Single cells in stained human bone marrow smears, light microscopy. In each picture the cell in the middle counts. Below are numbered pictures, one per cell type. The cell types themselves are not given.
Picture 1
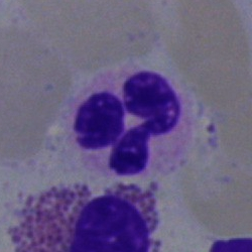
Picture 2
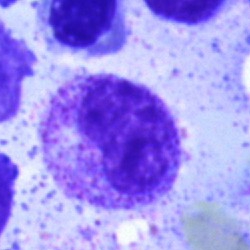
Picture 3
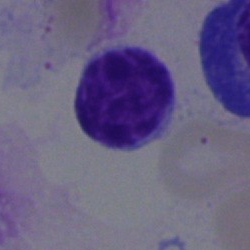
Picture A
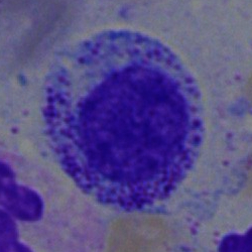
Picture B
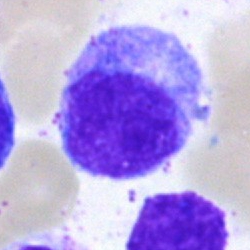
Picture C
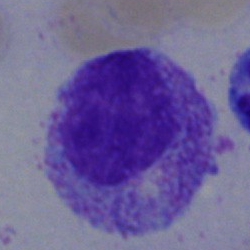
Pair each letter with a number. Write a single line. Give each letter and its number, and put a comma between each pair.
A 2, B 2, C 2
